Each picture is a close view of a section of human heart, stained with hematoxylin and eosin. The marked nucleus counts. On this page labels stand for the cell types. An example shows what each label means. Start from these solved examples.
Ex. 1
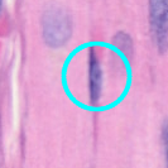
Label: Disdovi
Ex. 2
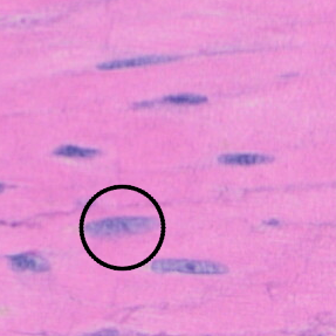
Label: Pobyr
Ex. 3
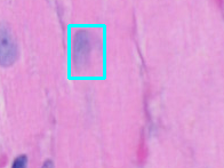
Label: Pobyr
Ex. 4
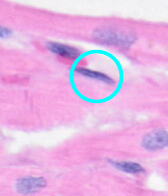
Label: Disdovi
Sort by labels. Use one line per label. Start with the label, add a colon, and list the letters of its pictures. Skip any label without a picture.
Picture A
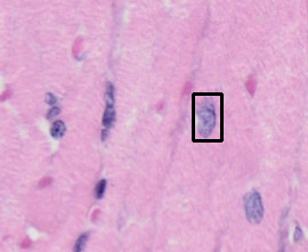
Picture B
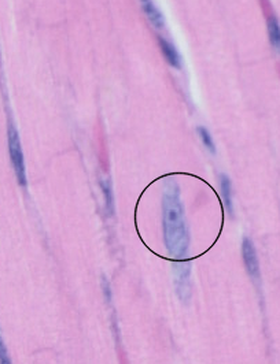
Pobyr: A, B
